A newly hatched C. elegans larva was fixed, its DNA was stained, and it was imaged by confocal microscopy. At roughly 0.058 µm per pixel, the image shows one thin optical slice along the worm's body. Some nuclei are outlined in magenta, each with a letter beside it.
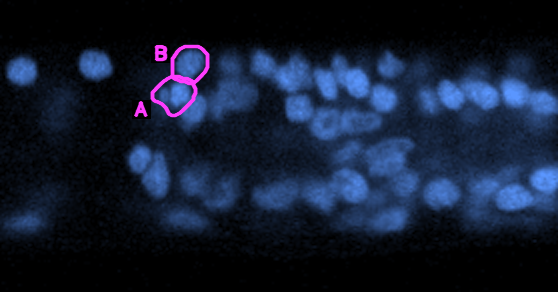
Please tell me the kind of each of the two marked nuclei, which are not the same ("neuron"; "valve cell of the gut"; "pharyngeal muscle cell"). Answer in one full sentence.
B belongs to a neuron, and A to a valve cell of the gut.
